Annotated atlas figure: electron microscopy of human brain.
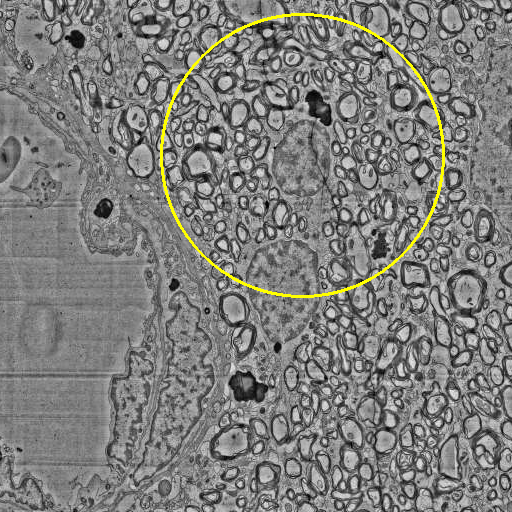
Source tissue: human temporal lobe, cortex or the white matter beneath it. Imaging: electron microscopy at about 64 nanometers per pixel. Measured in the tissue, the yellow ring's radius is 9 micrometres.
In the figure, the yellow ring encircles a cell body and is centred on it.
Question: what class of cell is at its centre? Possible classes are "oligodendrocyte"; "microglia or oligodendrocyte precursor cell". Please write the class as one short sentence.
The yellow ring is drawn around an oligodendrocyte.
